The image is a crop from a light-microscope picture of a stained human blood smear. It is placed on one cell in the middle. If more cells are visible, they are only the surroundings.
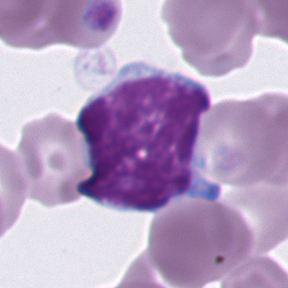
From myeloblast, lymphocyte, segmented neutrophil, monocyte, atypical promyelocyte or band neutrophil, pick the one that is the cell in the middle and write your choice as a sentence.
Whatever else lies nearby, the middle cell is a lymphocyte.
